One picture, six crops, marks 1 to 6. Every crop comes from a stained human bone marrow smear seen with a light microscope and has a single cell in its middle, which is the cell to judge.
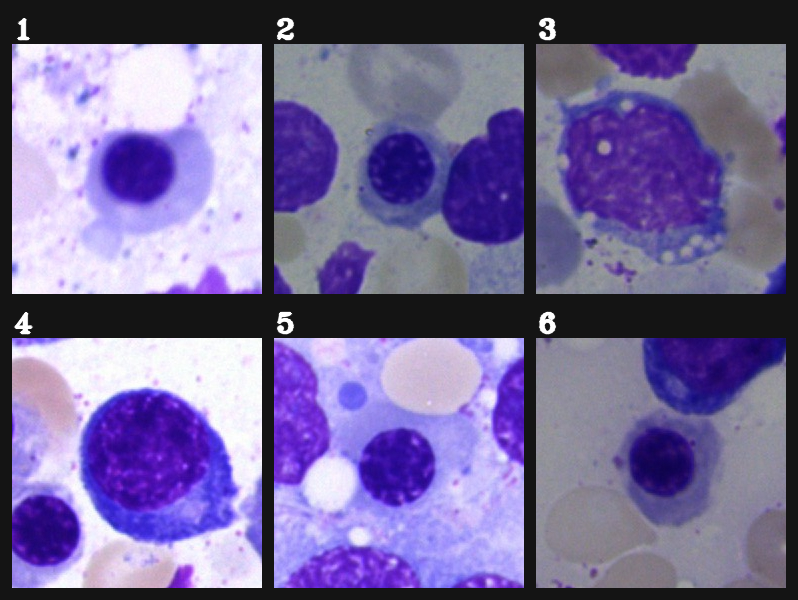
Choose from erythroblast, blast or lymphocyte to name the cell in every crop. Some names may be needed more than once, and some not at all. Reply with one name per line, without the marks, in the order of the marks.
erythroblast
erythroblast
blast
erythroblast
erythroblast
erythroblast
